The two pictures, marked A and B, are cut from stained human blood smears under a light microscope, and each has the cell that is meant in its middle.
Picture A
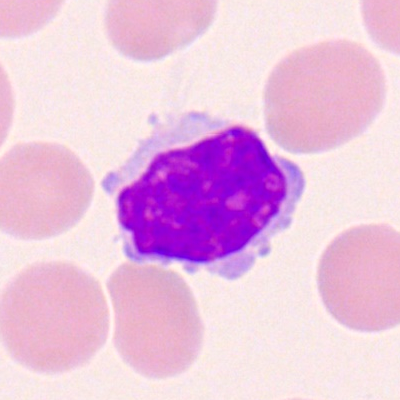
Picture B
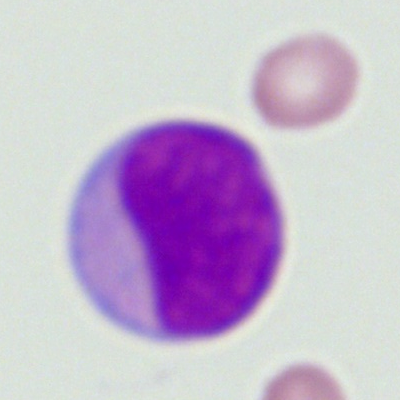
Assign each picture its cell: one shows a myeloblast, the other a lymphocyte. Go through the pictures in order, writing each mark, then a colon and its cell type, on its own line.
A: lymphocyte
B: myeloblast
